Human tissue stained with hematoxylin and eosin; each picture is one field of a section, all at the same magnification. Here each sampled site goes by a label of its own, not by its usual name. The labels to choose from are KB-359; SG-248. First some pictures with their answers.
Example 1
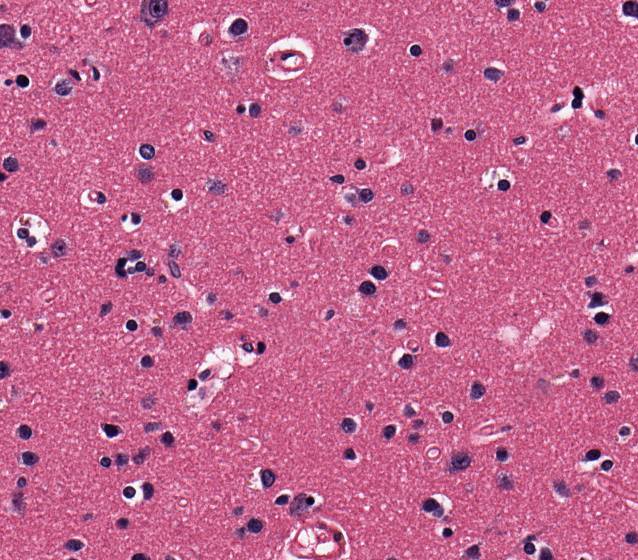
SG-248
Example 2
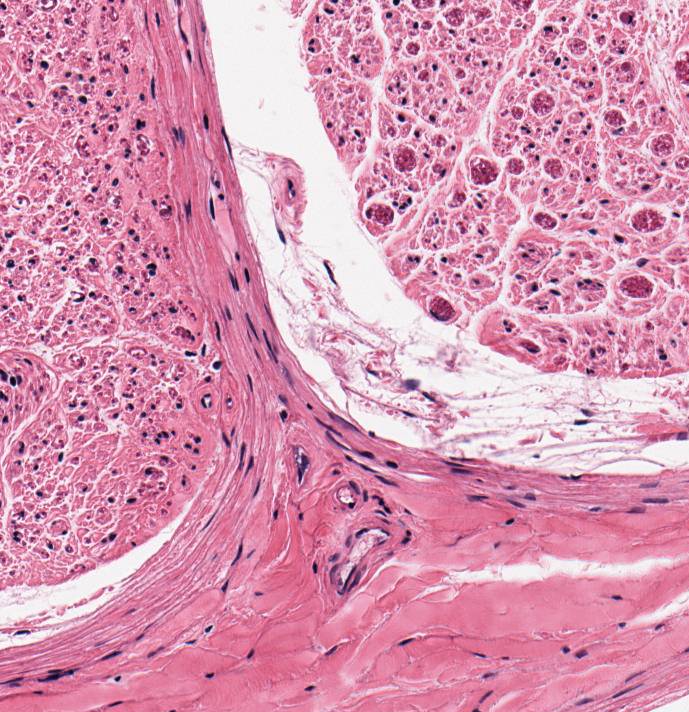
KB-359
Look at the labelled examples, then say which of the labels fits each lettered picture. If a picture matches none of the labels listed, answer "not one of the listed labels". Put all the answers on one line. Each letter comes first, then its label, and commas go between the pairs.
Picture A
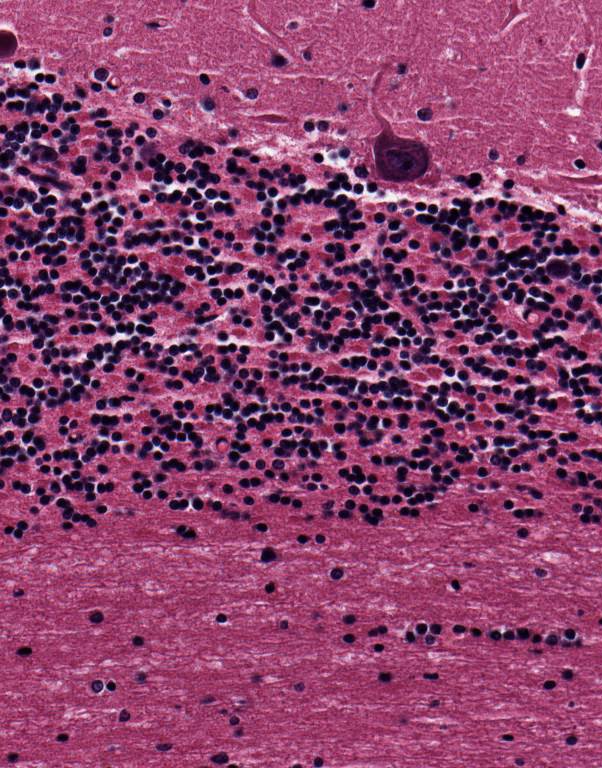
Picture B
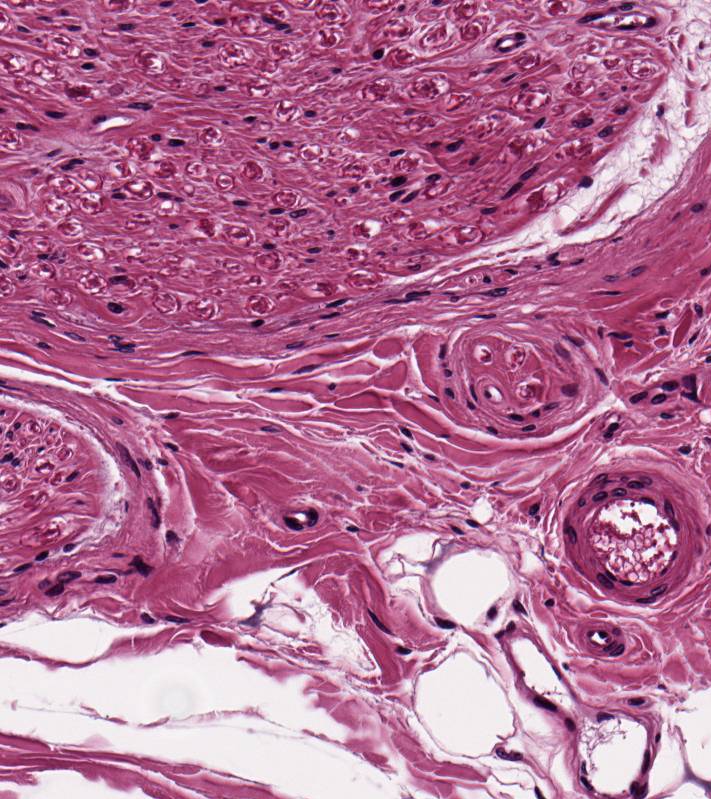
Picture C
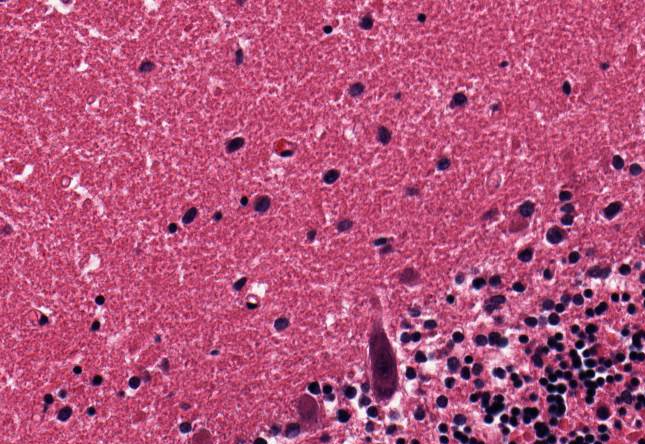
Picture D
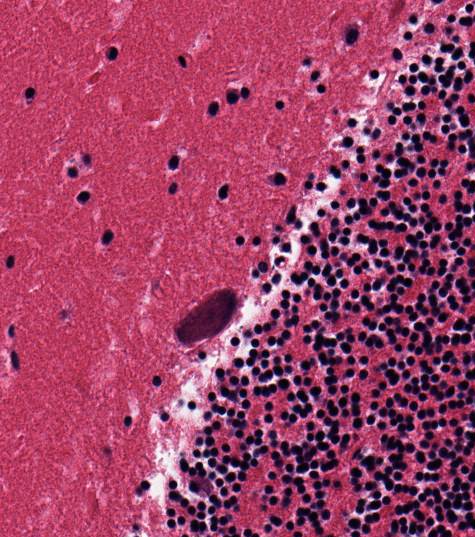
A not one of the listed labels, B KB-359, C not one of the listed labels, D not one of the listed labels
